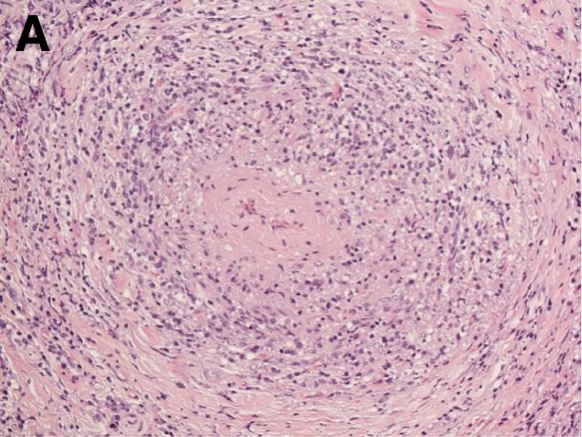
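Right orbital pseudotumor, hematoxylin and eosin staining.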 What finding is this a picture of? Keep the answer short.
concentric inflammation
